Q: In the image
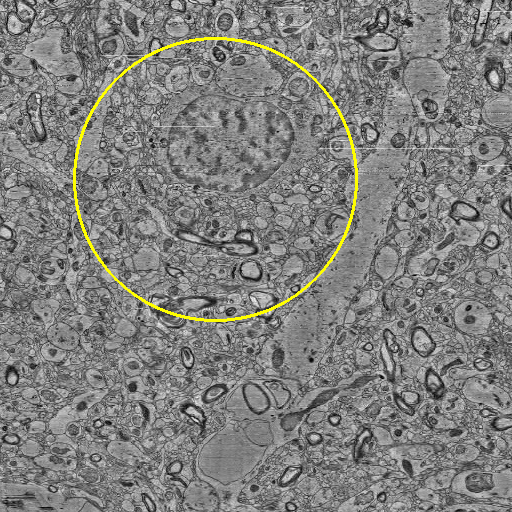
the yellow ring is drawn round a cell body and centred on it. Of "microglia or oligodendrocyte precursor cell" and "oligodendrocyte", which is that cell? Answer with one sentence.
The cell centred in the ring is an oligodendrocyte.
